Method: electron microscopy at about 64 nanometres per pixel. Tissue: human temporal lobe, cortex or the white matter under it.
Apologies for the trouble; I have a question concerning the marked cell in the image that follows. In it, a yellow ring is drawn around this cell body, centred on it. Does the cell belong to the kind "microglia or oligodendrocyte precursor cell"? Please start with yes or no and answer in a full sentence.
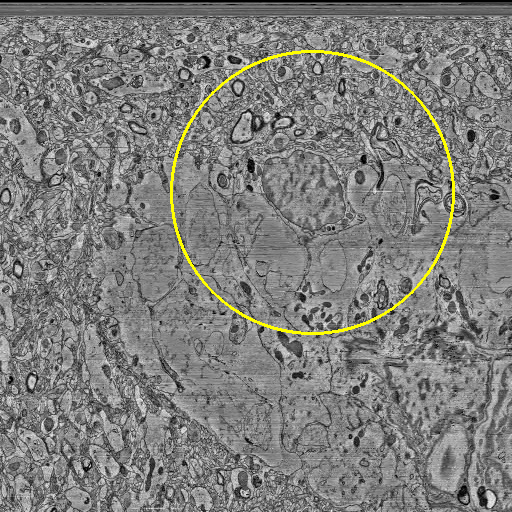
Yes, the cell at the centre of the ring in the picture is of that kind.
